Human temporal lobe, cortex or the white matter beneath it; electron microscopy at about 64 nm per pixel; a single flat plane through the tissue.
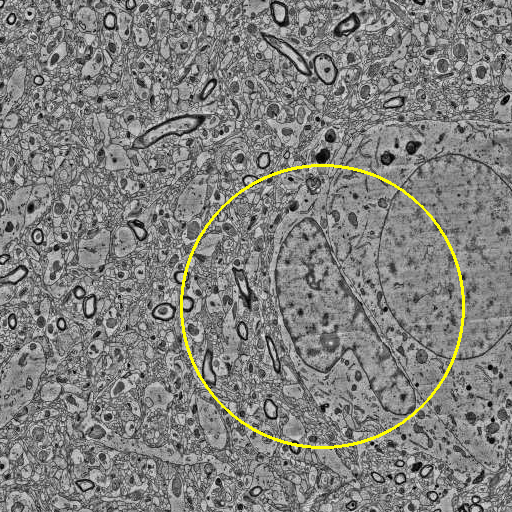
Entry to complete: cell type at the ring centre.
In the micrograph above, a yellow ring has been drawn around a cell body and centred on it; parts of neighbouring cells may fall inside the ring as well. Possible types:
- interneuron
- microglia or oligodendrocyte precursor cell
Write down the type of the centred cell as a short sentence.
The ring is centred on a microglial cell or oligodendrocyte precursor cell.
